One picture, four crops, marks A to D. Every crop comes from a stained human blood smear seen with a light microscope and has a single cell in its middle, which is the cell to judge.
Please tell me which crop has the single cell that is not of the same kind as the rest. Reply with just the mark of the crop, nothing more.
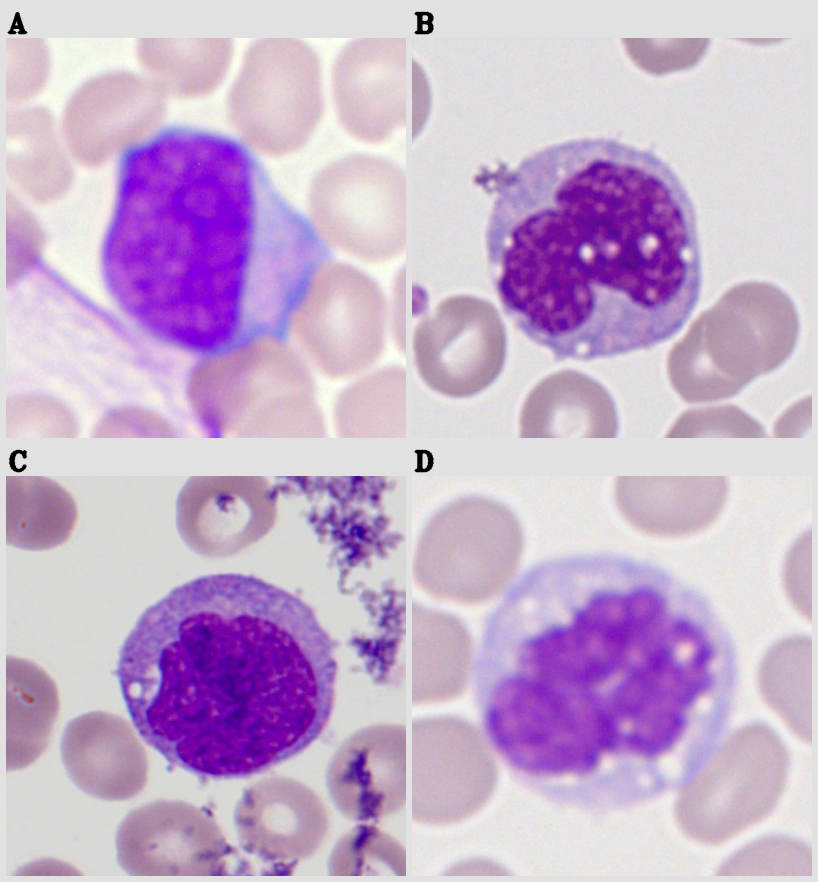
A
